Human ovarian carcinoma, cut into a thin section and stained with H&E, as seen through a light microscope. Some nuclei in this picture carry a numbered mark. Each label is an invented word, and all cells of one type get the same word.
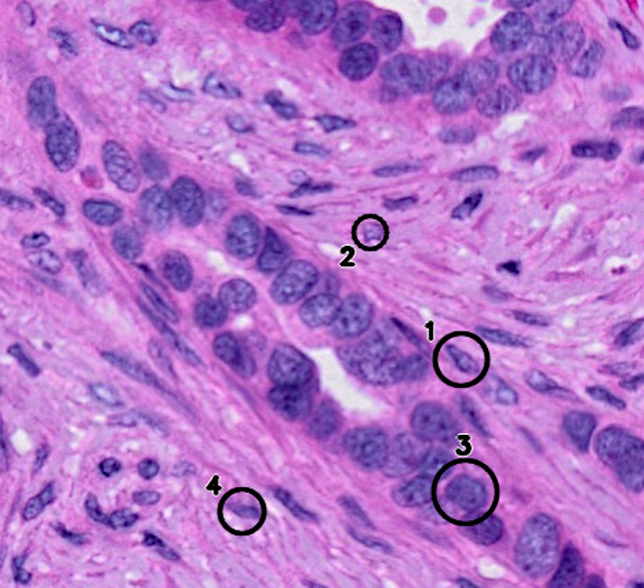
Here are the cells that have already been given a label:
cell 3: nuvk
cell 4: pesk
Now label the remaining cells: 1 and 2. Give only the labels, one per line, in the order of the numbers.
pesk
pesk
